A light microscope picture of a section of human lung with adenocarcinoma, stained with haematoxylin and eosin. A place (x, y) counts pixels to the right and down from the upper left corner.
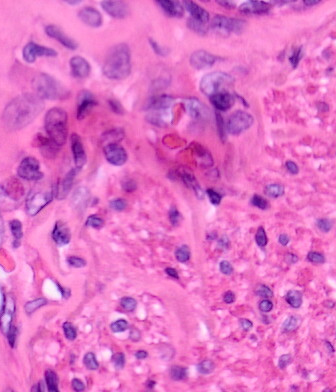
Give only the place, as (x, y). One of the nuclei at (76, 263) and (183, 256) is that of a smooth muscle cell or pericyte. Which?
(183, 256)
